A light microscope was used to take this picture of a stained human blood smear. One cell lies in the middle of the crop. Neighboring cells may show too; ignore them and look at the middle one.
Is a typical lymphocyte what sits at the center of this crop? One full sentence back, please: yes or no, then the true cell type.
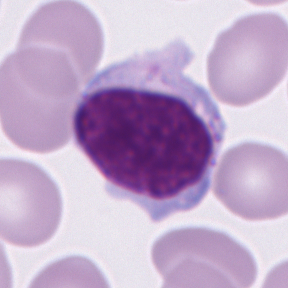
No, the central cell is not to be called a typical lymphocyte, being a large granular lymphocyte.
